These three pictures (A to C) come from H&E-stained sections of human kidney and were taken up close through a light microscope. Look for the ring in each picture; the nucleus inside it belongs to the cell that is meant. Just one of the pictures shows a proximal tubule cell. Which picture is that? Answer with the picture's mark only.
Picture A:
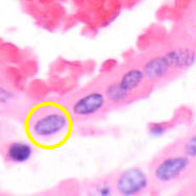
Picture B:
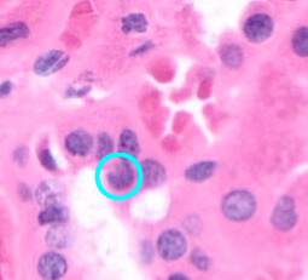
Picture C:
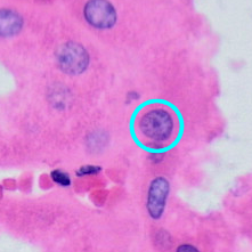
C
